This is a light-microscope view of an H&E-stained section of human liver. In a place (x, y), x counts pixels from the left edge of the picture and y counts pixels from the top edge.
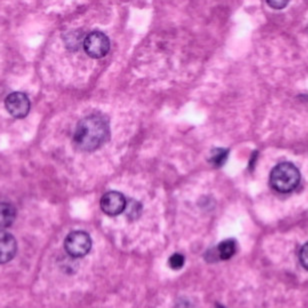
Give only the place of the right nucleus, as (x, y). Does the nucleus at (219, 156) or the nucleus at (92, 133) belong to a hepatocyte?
(92, 133)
